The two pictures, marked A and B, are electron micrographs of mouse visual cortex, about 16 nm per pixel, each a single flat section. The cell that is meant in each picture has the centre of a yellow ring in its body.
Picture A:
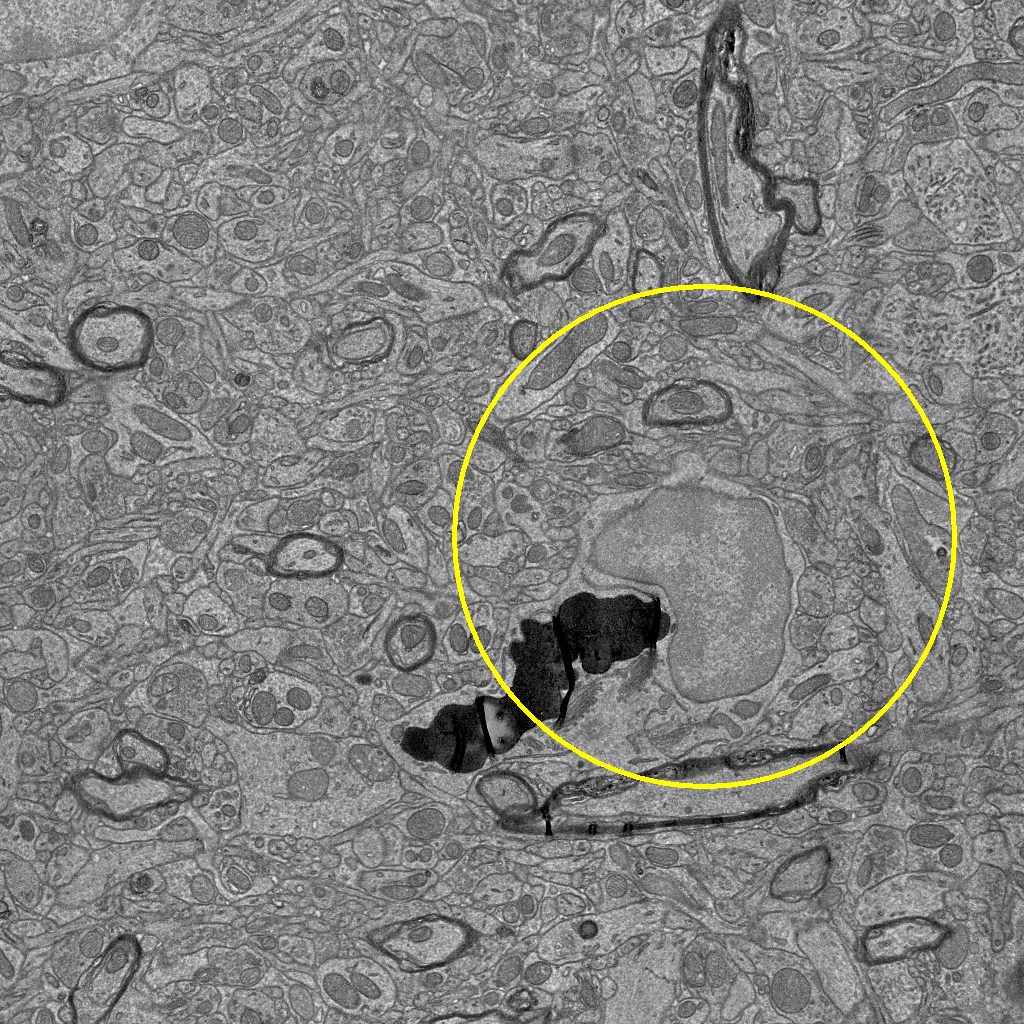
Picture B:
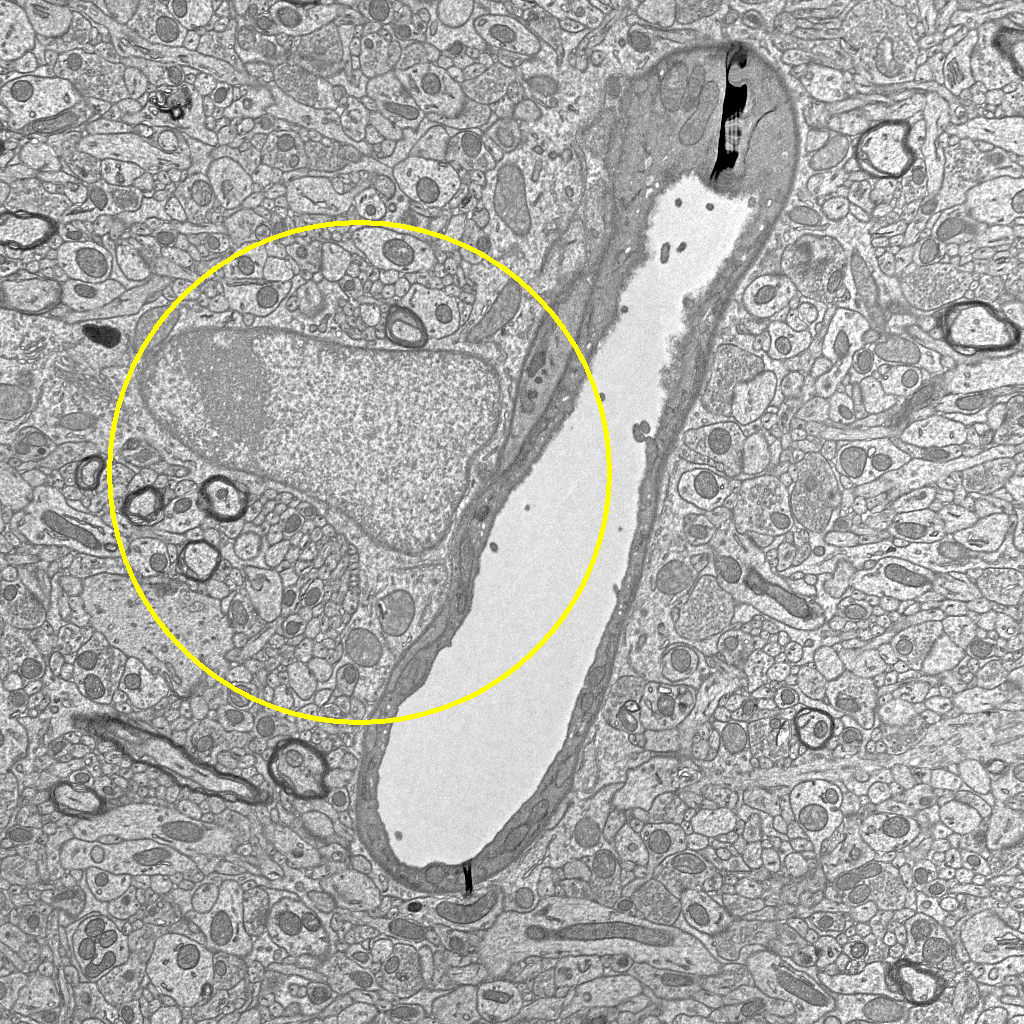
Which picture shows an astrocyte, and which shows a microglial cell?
Picture B shows an astrocyte, while picture A shows a microglial cell.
